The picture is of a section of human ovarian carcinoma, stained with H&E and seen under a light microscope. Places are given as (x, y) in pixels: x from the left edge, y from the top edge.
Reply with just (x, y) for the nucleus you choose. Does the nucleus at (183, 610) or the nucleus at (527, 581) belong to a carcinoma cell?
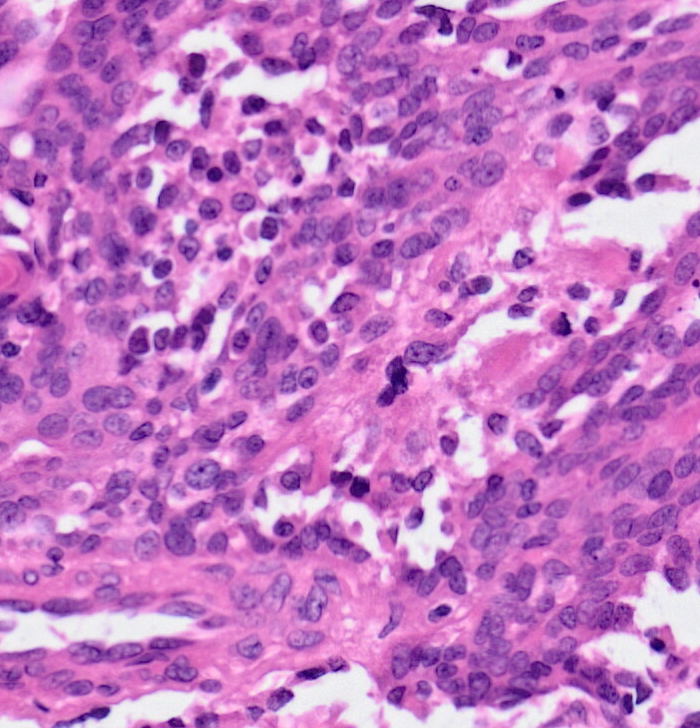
(527, 581)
